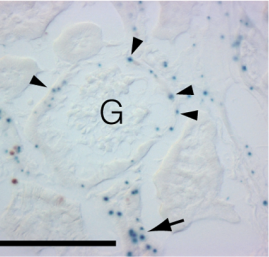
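A renal glomerulus lies in the center, surrounded by tubule profiles in pale unstained tissue. Small blue dots lie on the thin rim of the glomerular capsule and in clusters within nearby tubules, while the glomerular tuft itself is mostly free of them.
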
